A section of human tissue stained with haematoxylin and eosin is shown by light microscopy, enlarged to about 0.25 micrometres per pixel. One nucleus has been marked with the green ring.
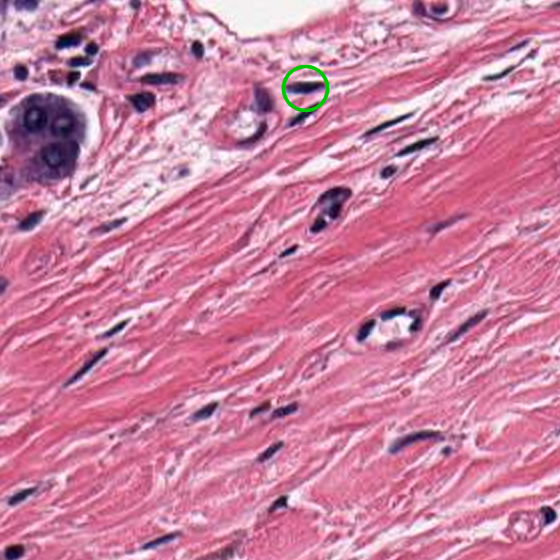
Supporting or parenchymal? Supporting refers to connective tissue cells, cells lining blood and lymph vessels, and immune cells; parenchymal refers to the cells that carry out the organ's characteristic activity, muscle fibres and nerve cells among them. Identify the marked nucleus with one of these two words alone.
supporting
